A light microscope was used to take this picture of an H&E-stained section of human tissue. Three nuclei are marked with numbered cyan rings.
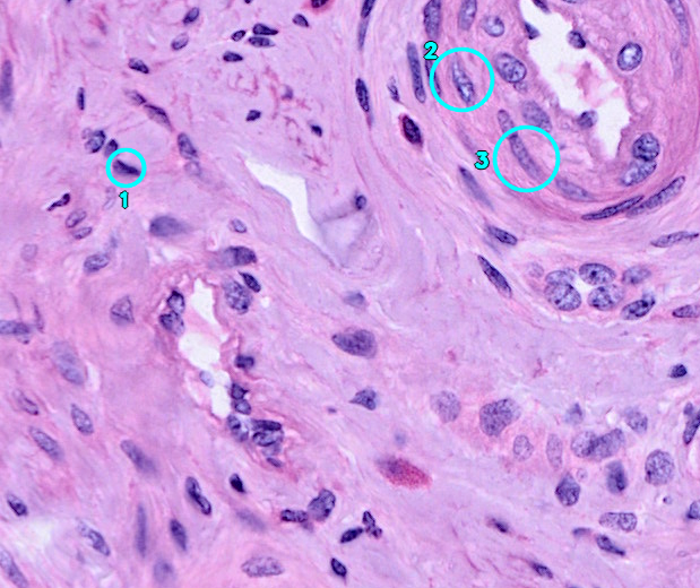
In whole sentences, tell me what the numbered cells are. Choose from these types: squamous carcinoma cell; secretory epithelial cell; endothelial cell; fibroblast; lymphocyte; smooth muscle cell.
Cell 1 is a fibroblast, cell 2 is a smooth muscle cell and cell 3 is a smooth muscle cell.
